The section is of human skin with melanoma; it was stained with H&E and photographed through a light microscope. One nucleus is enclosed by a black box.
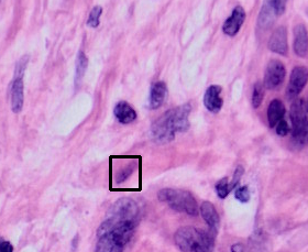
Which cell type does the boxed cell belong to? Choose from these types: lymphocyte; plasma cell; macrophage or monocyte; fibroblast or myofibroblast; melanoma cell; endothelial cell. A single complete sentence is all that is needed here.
It is a macrophage or monocyte that the boxed cell represents.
